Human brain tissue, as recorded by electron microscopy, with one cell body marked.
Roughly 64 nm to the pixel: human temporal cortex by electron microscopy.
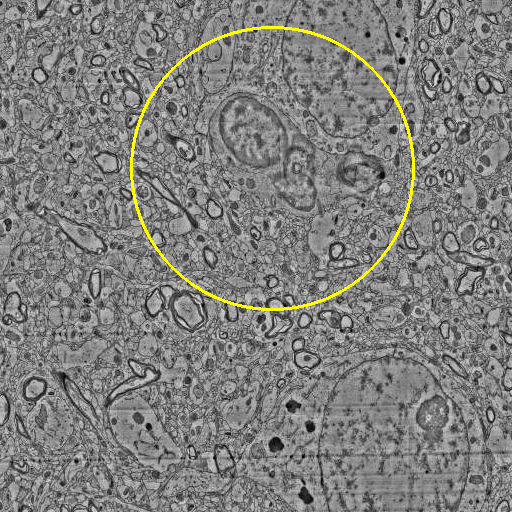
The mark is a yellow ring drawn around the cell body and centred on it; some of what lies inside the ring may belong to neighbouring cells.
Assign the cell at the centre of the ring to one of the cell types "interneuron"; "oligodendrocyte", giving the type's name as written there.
oligodendrocyte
